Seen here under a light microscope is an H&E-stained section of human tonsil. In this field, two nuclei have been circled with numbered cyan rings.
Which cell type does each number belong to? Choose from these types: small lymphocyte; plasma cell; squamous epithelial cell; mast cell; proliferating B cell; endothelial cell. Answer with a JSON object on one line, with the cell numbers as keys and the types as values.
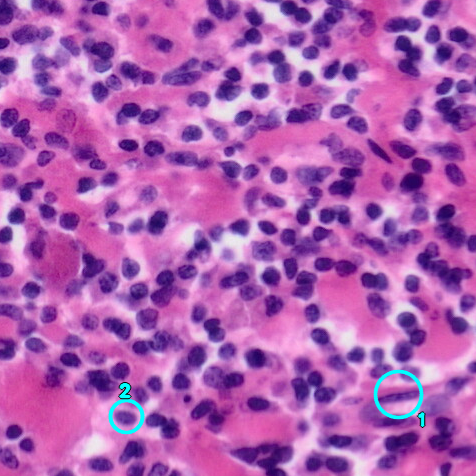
{"1": "endothelial cell", "2": "mast cell"}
